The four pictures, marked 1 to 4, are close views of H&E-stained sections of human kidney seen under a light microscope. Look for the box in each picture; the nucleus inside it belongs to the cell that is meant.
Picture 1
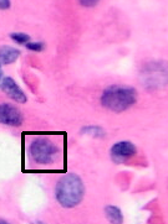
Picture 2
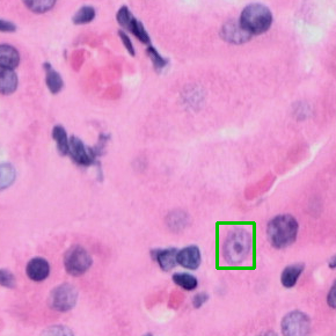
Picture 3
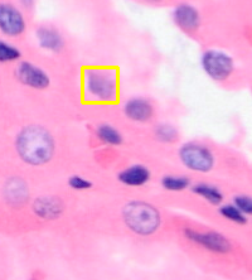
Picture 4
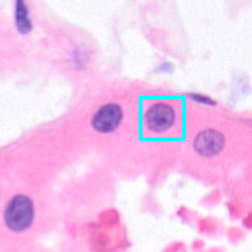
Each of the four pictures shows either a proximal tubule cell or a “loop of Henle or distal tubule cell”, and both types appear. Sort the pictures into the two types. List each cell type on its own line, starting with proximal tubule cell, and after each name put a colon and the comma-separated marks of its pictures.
proximal tubule cell: 2, 4
loop of Henle or distal tubule cell: 1, 3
